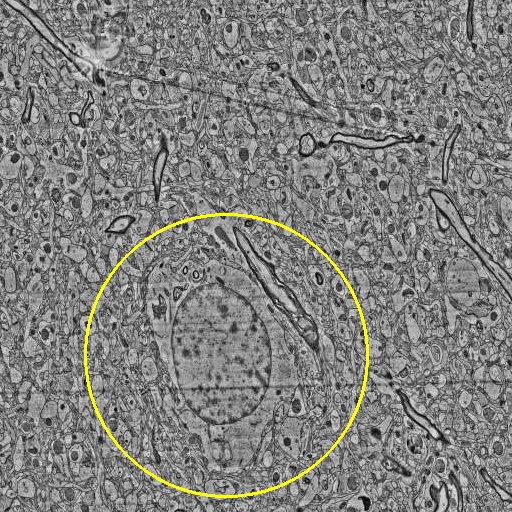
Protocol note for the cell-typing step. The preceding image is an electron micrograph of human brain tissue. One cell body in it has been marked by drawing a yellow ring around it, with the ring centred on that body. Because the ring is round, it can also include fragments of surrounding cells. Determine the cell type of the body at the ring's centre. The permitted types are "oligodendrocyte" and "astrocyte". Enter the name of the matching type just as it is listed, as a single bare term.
astrocyte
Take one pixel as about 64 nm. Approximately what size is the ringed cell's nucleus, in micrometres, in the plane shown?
The nucleus works out at approximately 9 by 6 micrometres in this plane.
